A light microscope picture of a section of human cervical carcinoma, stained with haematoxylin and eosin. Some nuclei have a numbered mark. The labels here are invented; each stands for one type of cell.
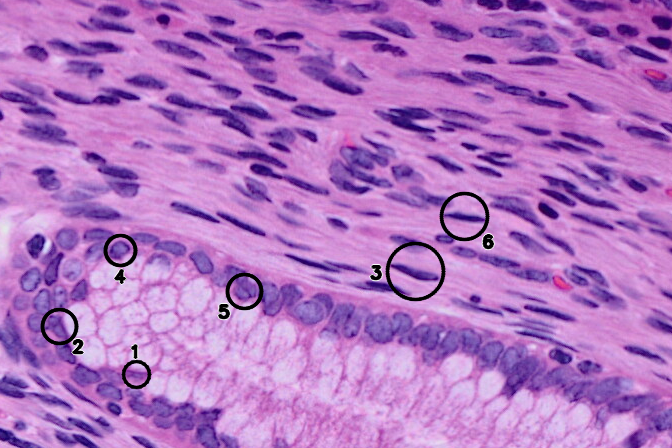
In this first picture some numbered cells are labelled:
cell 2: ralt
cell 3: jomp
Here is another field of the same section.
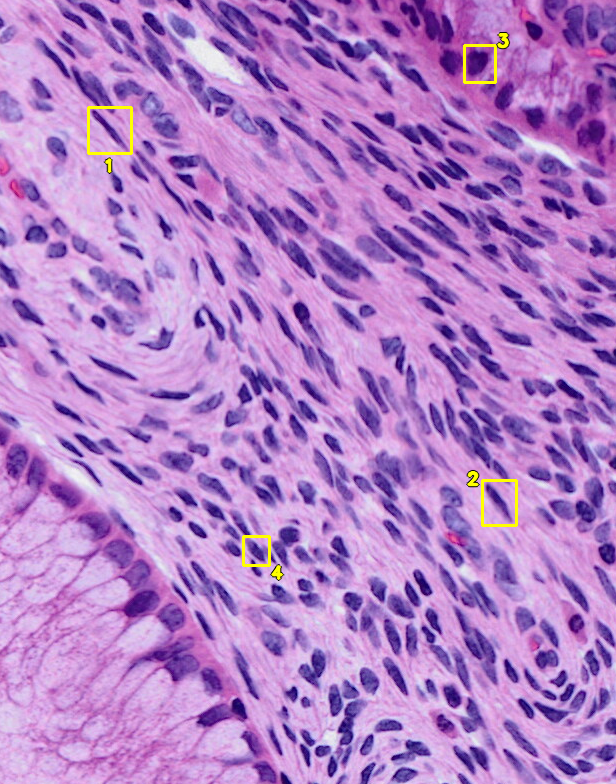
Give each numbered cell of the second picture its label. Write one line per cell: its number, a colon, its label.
1: jomp
2: jomp
3: ralt
4: jomp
